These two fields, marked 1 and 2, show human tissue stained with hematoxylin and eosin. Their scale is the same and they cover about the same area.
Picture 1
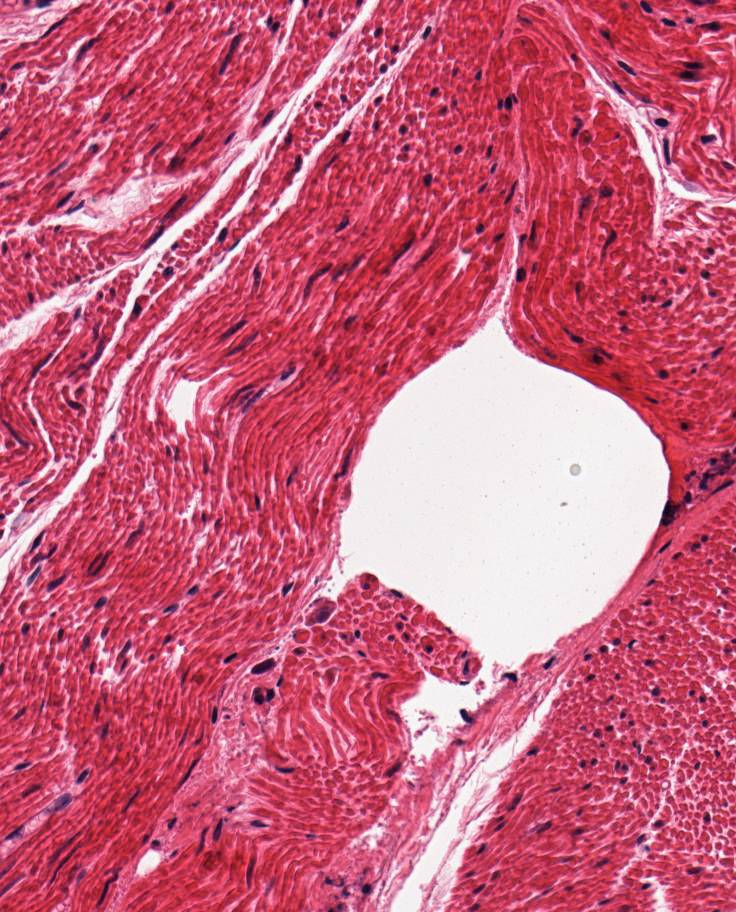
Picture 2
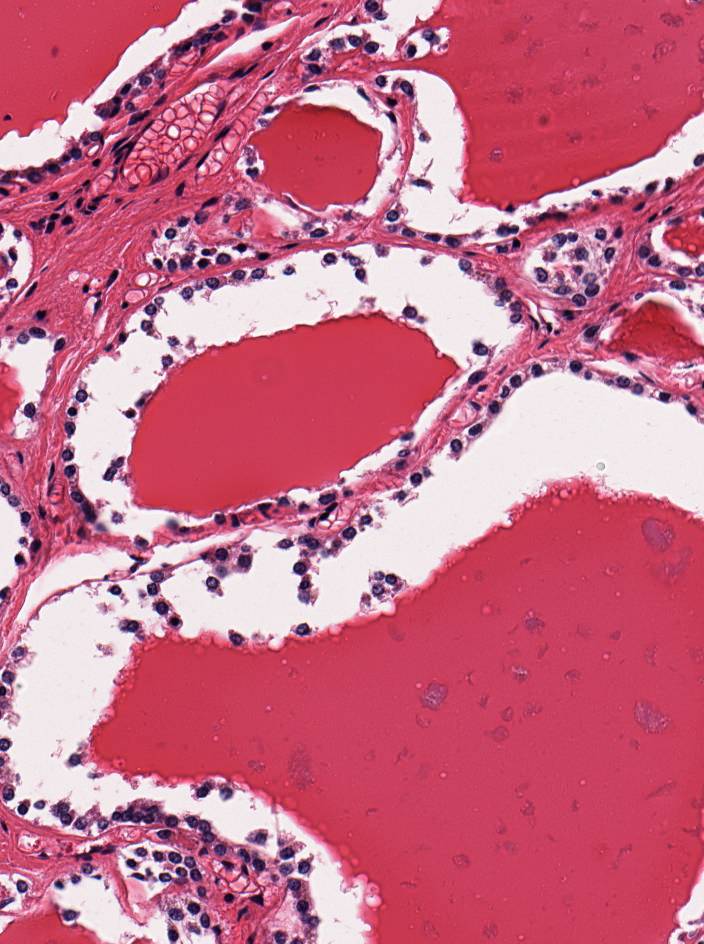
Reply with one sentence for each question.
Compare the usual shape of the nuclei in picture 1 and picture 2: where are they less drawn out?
Rounder nuclei lie in picture 2.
